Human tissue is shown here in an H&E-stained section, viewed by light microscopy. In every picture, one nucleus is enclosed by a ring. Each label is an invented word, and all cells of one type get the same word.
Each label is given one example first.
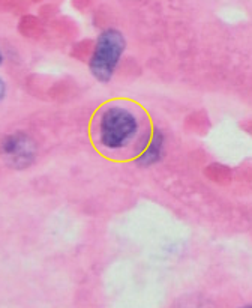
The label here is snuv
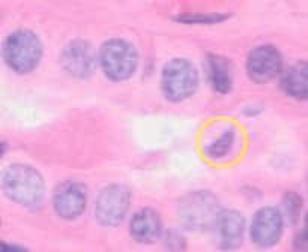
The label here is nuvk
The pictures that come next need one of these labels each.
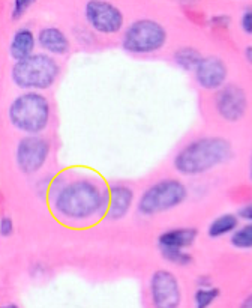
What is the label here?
nuvk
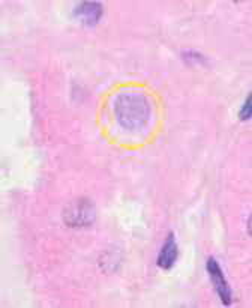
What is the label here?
snuv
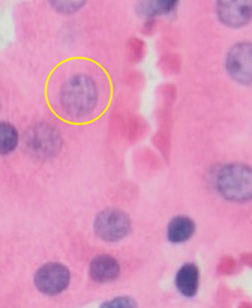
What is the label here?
snuv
